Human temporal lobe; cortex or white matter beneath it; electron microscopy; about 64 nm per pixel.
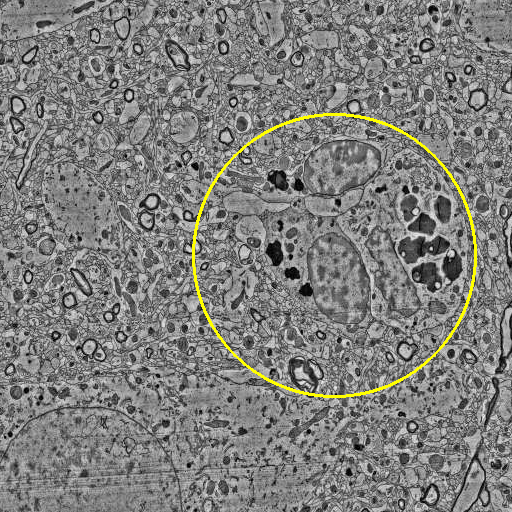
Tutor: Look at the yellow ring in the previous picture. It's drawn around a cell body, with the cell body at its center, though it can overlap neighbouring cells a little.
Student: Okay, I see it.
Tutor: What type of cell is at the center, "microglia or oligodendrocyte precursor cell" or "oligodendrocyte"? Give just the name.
oligodendrocyte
